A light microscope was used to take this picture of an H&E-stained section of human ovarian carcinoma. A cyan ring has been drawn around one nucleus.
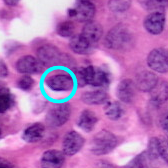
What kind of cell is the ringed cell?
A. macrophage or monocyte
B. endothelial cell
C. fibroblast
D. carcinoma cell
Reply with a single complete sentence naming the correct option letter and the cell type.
Option D wins here: the ringed cell is a carcinoma cell.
